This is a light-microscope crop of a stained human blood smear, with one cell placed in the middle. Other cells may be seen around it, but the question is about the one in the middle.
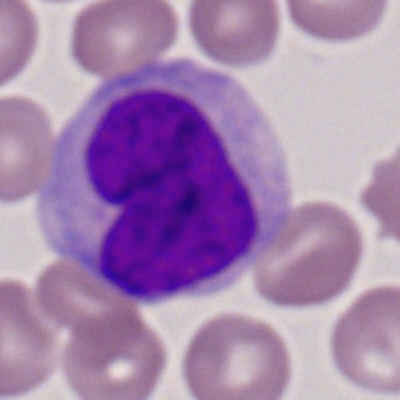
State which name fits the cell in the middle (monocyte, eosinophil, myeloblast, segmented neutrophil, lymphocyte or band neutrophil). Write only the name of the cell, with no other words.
monocyte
